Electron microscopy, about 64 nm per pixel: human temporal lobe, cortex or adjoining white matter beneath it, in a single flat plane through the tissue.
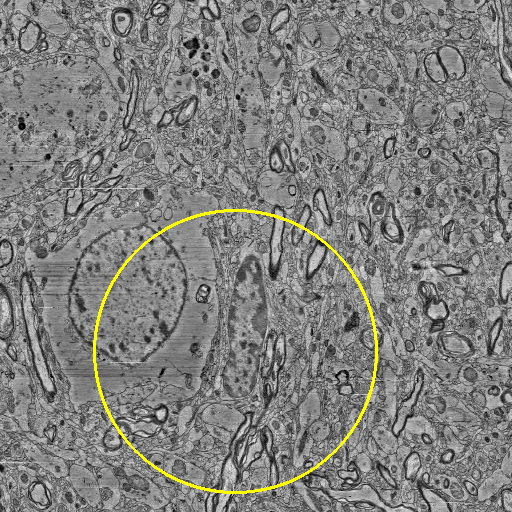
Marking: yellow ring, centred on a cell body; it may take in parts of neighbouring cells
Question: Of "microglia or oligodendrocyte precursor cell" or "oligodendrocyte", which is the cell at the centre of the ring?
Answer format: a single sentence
The ring surrounds the body of a microglial cell or oligodendrocyte precursor cell.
